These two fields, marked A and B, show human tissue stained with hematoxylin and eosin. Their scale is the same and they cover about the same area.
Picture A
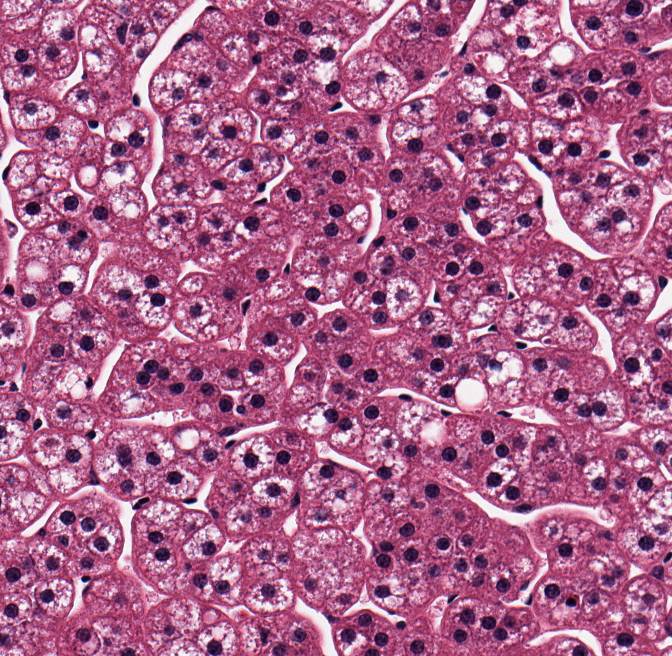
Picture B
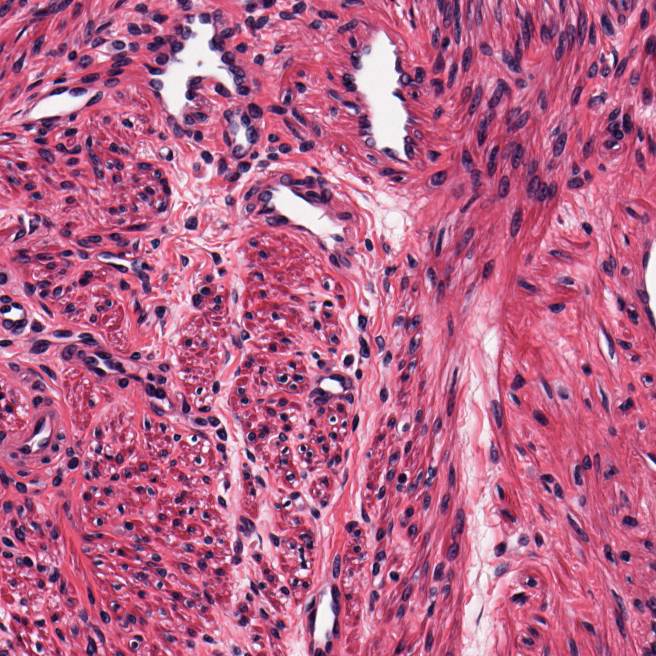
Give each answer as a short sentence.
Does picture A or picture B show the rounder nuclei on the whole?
On the whole the nuclei of picture A are rounder than those of picture B.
